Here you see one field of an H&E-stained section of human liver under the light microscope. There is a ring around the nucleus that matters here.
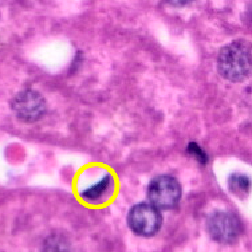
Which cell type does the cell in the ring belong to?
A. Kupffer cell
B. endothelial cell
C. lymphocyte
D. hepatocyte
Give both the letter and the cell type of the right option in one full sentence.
Option B is correct; the cell in the ring is an endothelial cell.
